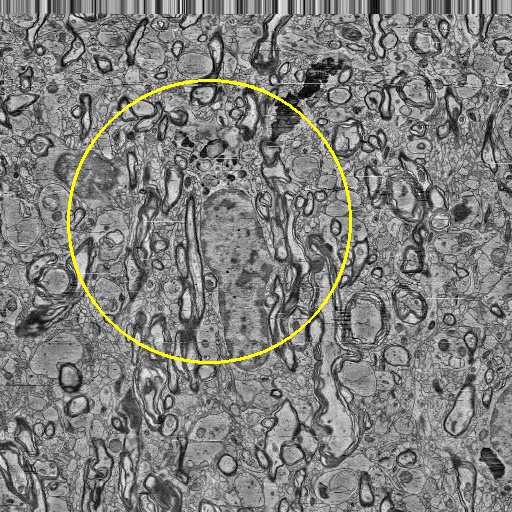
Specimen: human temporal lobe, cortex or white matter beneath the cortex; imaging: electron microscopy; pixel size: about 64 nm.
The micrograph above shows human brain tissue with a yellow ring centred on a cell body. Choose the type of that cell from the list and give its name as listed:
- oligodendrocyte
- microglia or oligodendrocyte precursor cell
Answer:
microglia or oligodendrocyte precursor cell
